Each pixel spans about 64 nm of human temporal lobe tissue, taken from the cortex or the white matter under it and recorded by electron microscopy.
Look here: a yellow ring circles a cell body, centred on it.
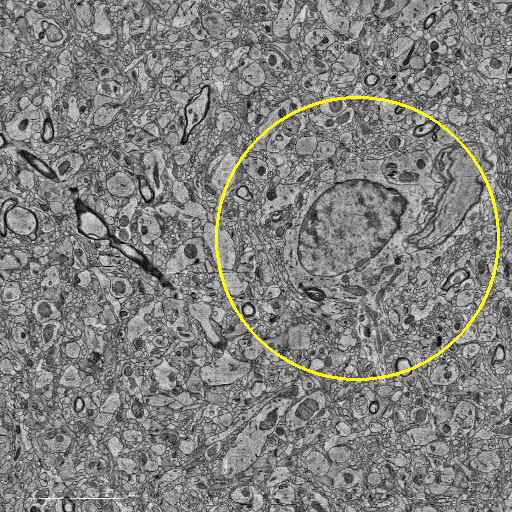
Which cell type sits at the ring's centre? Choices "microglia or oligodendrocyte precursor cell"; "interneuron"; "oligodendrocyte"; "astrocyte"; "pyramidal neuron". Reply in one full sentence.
The cell at the centre of the yellow ring in the picture is a microglial cell or oligodendrocyte precursor cell.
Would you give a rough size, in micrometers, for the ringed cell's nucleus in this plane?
The nucleus is approximately 8 micrometers long by 5 micrometers wide in this plane.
